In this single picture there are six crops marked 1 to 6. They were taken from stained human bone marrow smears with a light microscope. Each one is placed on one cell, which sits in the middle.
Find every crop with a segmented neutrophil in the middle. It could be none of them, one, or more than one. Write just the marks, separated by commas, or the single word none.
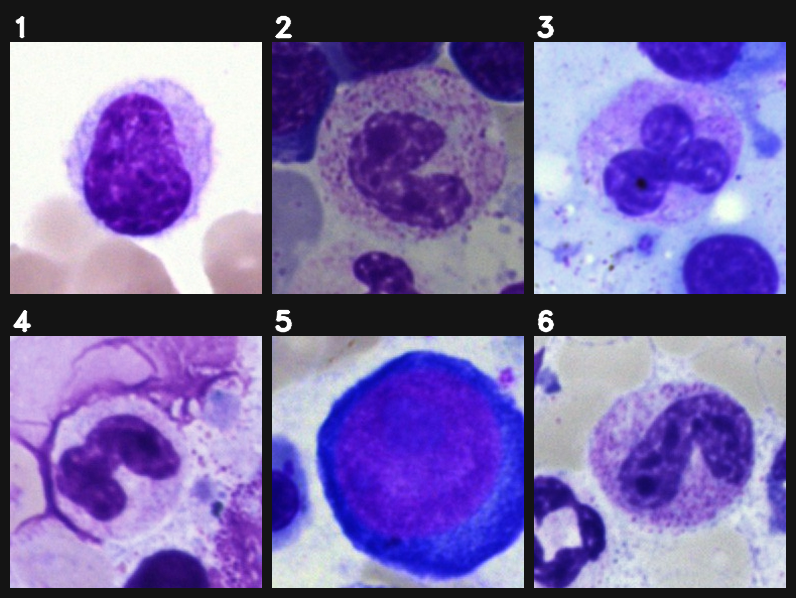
3, 4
